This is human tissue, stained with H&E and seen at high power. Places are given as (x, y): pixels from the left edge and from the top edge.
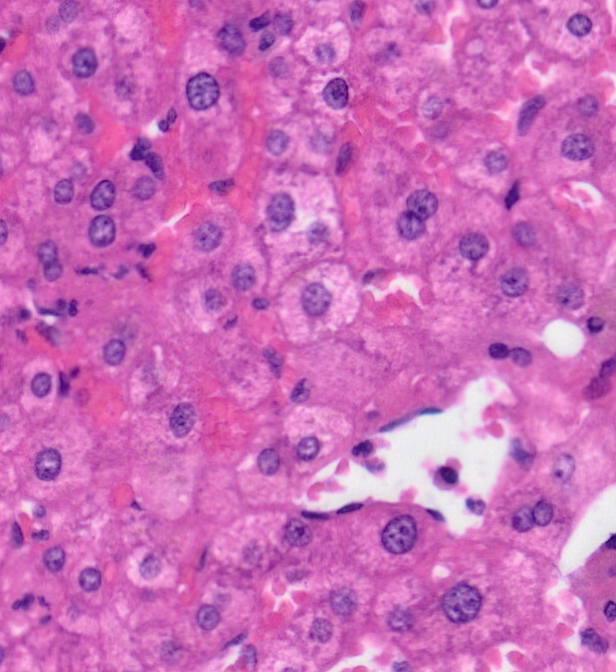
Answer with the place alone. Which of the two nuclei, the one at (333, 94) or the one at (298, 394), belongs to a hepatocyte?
(333, 94)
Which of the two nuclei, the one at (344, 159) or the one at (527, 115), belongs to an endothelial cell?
(344, 159)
